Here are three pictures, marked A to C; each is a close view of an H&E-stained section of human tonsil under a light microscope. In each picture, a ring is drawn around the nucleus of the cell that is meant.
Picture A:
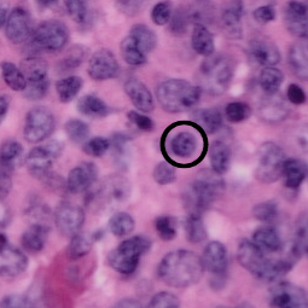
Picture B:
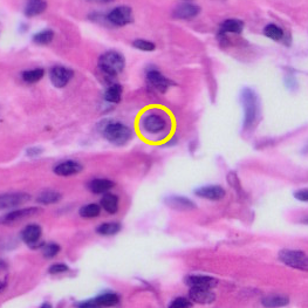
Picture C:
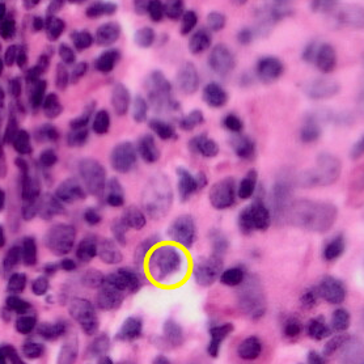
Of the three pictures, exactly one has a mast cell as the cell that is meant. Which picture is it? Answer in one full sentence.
The picture with the mast cell is B.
